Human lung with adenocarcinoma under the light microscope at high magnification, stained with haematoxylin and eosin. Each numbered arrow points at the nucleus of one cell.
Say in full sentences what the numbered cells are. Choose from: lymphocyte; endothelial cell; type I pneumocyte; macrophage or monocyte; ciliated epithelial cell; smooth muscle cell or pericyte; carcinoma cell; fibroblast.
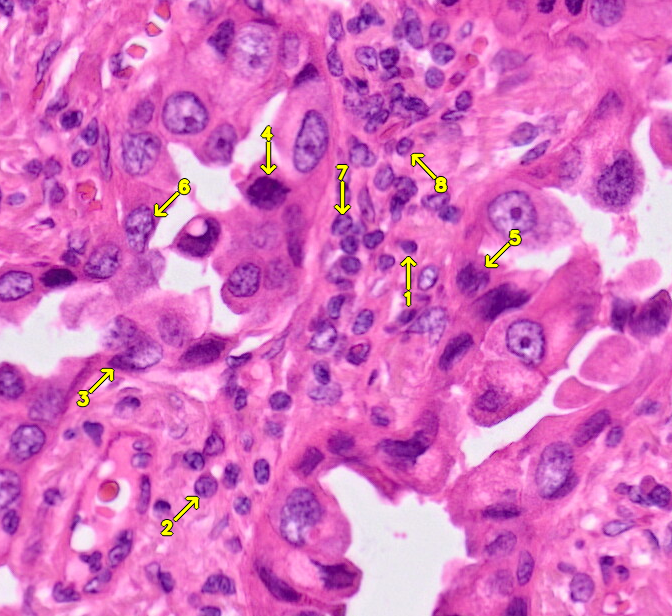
Cells 1, 2, 7 and 8 are lymphocytes. Cells 3, 4, 5 and 6 are carcinoma cells.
